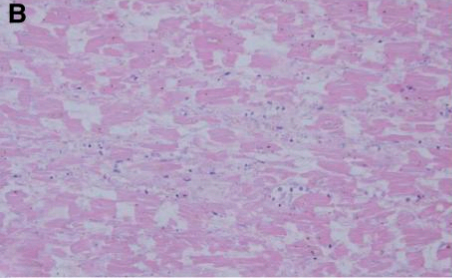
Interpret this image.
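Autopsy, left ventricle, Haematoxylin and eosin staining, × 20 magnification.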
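Low-power view of myocardium in which pink muscle fibres are broken into short fragments and separated by wide, pale interstitial spaces. Nuclei are sparse and scattered, and there are no dense clusters of inflammatory cells.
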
